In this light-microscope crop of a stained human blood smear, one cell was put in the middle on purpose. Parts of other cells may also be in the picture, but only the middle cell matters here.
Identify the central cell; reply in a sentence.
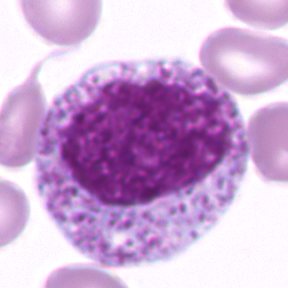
The cell featured at the centre of this crop is a myelocyte.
